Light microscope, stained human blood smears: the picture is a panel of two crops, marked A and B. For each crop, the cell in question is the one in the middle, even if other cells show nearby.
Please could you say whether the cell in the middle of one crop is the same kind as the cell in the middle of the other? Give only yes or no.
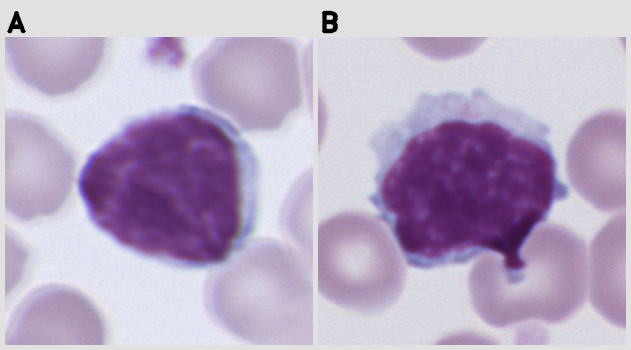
yes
